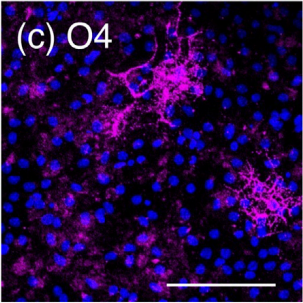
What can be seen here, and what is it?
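Here a few oligodendrocytes stand out in magenta among a dense field of blue nuclei. Each magenta cell has a small body and a mass of very fine, highly branched processes that form a lacy, web-like spread. One cell's processes outline a broad fan, while another's are gathered into a dense tangled patch. Faint diffuse magenta lies in the background between the unlabelled cells.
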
